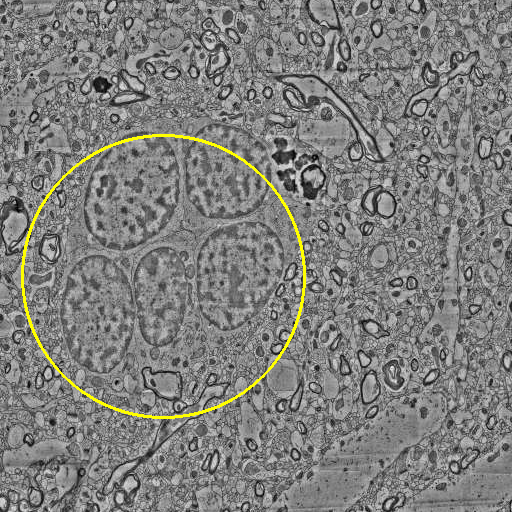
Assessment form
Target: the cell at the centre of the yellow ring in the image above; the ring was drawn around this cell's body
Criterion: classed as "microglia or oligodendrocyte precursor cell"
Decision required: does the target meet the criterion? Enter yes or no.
no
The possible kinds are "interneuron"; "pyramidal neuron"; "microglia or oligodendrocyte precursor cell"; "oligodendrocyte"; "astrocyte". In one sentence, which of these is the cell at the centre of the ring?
The answer is that the ringed cell is an oligodendrocyte.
